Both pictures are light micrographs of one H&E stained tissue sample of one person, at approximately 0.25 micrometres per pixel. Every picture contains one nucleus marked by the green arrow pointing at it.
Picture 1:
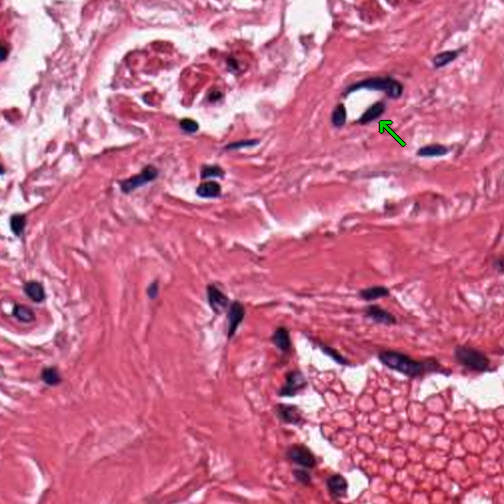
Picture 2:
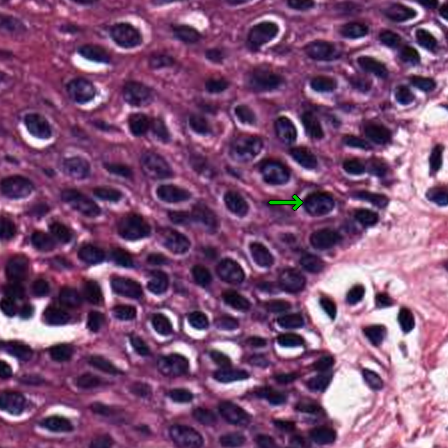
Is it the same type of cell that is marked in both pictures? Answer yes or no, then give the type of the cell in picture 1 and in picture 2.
No, the first is an endothelial cell and the second a squamous epithelial cell.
